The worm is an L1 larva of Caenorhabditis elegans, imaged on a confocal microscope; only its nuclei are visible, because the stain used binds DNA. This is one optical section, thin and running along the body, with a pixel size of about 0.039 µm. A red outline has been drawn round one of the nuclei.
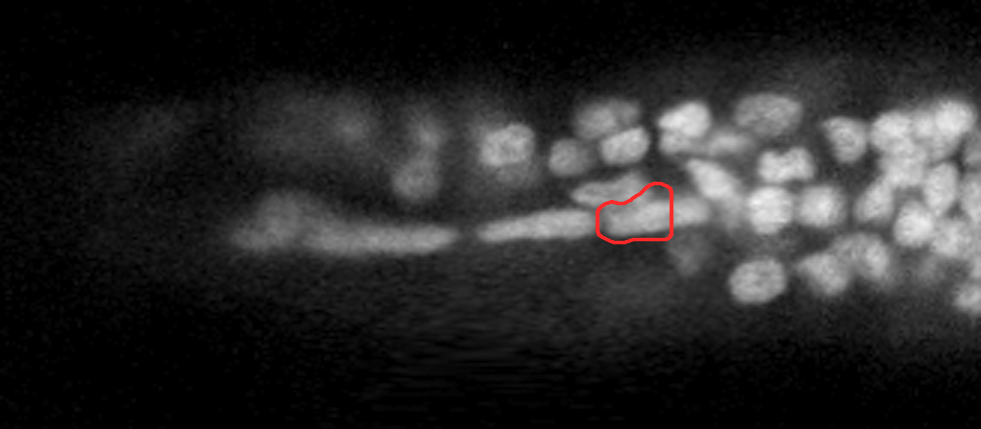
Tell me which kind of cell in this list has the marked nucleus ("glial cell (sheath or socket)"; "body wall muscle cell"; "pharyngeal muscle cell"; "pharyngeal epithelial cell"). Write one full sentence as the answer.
This is the nucleus of a pharyngeal epithelial cell.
